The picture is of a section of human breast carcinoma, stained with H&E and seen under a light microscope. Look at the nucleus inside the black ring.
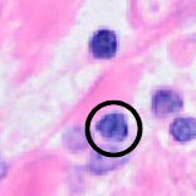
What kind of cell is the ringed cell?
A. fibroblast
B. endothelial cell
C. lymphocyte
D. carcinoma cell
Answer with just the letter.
C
